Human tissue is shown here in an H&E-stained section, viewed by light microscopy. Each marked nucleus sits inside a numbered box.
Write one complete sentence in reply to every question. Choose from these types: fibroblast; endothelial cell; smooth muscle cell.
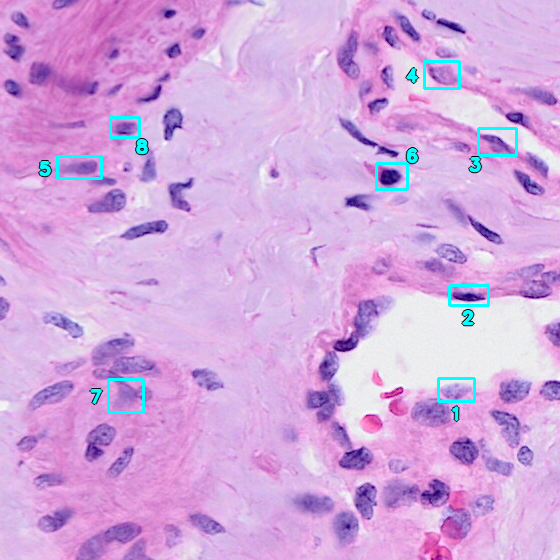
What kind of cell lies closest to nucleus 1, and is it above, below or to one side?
Just below and to the left of nucleus 1 lies the nearest nucleus, which belongs to an endothelial cell.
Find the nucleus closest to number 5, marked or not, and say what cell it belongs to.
Closest to number 5 lies the nucleus of a smooth muscle cell.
